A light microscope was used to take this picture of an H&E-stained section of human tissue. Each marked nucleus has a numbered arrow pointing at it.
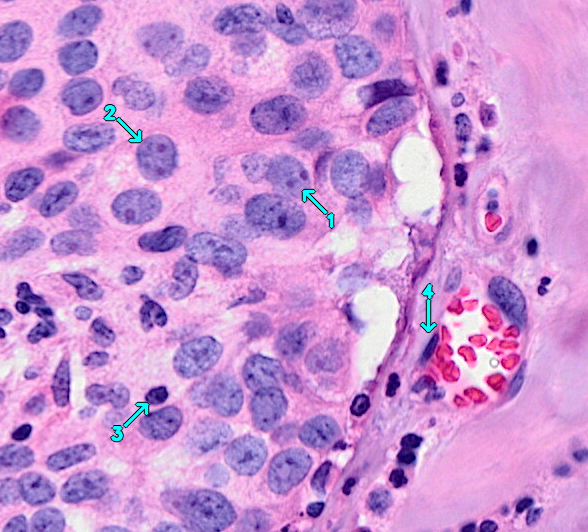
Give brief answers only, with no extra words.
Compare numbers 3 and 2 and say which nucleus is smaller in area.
3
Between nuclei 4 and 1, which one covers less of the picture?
4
